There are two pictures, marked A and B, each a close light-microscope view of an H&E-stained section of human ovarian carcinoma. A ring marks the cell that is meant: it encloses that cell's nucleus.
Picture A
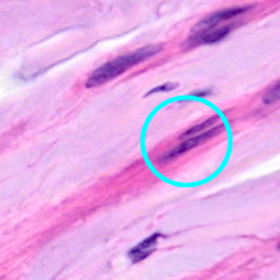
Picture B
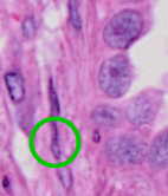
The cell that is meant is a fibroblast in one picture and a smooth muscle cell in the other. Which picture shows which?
A: smooth muscle cell
B: fibroblast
